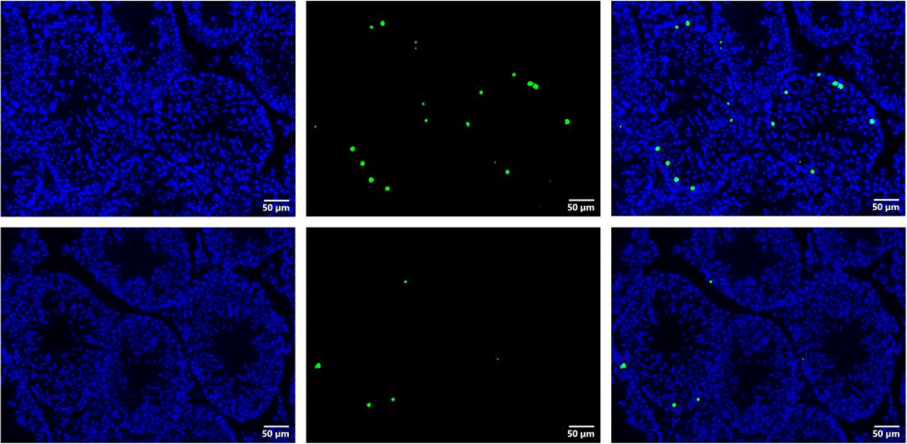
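Sections of testis show cross-sectioned seminiferous tubules, with nuclei in blue fluorescence. Narrow dark interstitial spaces lie between neighbouring tubules. Scattered small, bright, rounded green bodies lie within the tubule walls. More green bodies appear in the upper row of images than in the lower row.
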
